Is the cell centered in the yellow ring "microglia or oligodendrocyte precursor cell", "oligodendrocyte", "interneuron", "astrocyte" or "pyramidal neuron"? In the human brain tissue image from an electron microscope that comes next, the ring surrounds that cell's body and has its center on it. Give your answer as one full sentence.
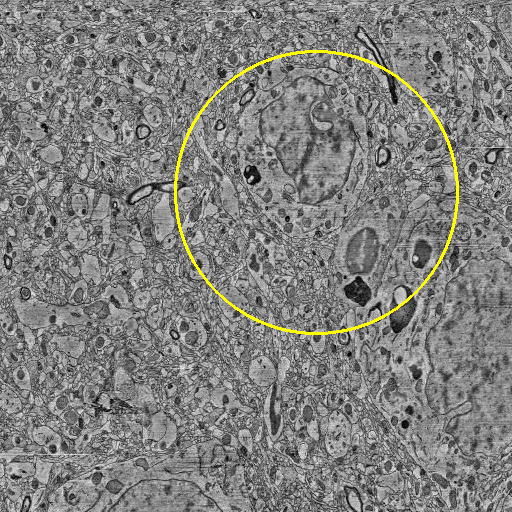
The cell at the center of the yellow ring is an interneuron in the micrograph.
